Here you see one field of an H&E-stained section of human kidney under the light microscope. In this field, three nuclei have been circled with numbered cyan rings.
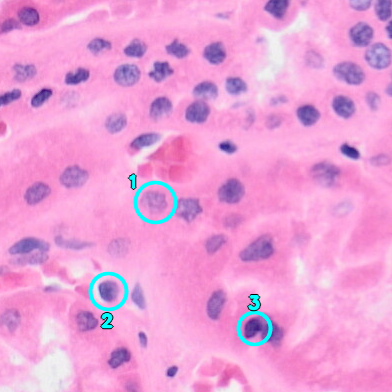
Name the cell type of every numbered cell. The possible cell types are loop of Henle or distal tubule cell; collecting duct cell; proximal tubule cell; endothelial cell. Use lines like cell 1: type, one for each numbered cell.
cell 1: proximal tubule cell
cell 2: endothelial cell
cell 3: proximal tubule cell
